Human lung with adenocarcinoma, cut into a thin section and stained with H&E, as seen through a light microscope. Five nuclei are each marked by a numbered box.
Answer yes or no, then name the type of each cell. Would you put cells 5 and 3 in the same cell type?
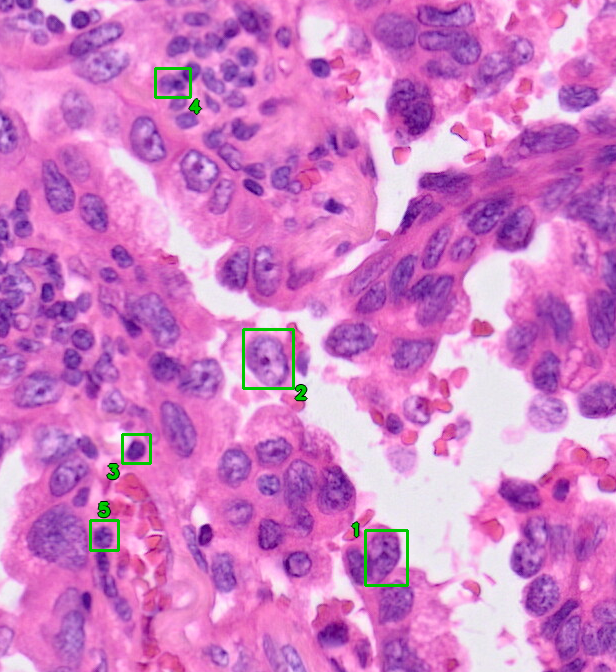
Yes, by cell type, cells 5 and 3 are both lymphocytes.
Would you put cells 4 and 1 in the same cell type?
No, in contrast to cell 1, which is a carcinoma cell, cell 4 is a lymphocyte.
